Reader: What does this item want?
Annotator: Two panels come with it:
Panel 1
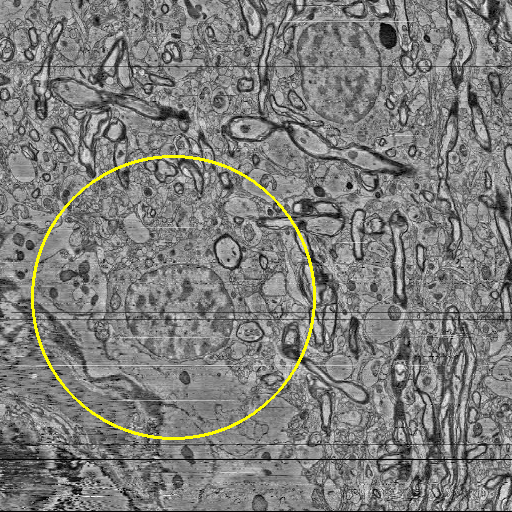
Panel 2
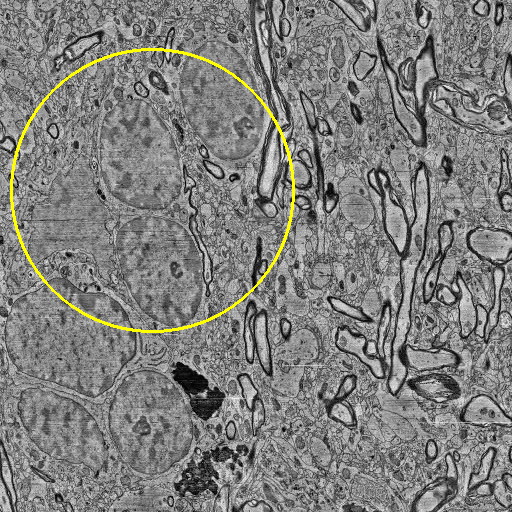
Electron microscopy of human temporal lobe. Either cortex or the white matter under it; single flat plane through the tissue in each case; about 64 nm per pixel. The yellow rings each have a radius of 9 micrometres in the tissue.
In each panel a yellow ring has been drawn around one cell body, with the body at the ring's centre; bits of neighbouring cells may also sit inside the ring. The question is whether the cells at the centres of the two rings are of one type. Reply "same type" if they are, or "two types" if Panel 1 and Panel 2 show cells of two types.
same type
